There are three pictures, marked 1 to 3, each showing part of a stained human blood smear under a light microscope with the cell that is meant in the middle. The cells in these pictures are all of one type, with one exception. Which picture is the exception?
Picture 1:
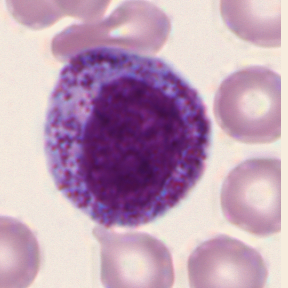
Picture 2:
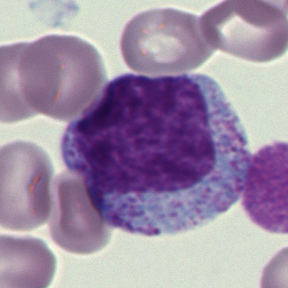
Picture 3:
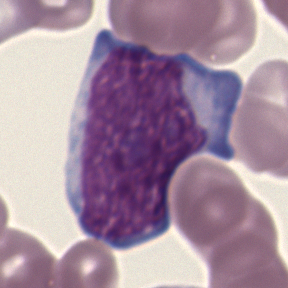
3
